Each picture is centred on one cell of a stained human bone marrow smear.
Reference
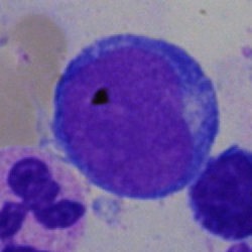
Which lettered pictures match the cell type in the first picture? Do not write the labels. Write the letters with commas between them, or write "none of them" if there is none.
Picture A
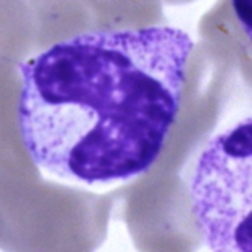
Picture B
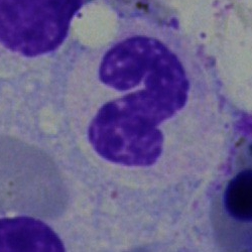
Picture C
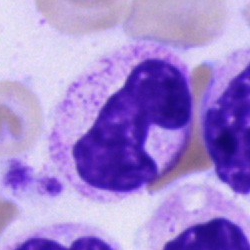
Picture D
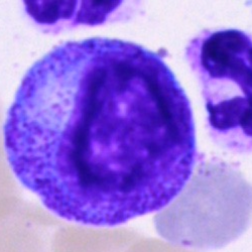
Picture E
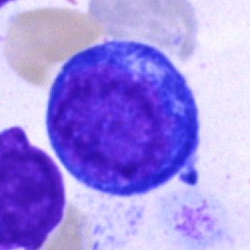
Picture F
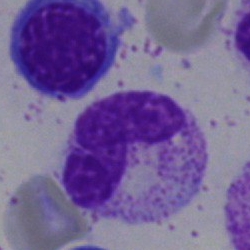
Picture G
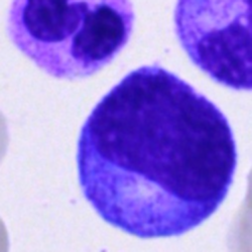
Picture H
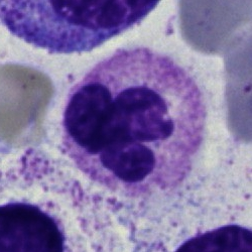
E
